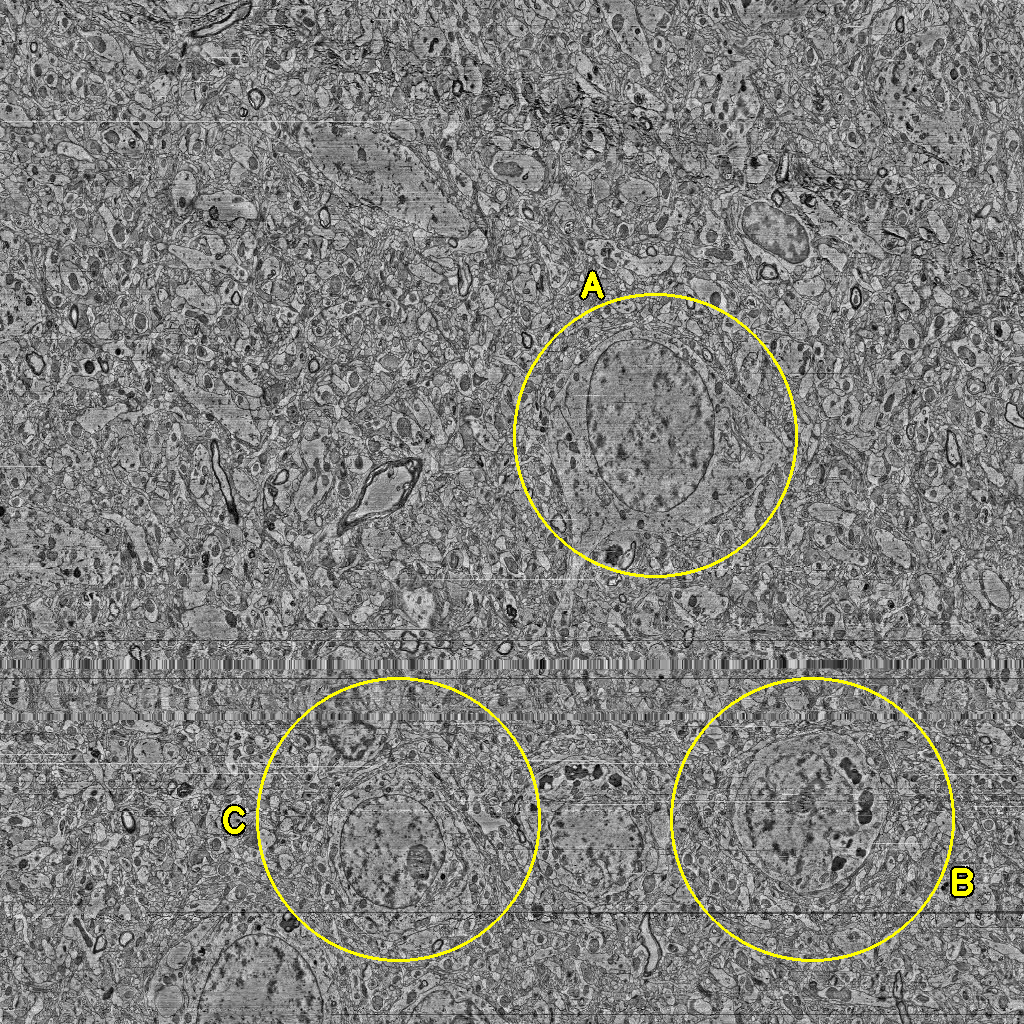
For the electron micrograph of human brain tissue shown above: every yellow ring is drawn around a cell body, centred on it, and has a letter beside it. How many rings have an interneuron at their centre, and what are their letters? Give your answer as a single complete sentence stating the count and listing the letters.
The ring beside the letter B is the single ring centred on an interneuron.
